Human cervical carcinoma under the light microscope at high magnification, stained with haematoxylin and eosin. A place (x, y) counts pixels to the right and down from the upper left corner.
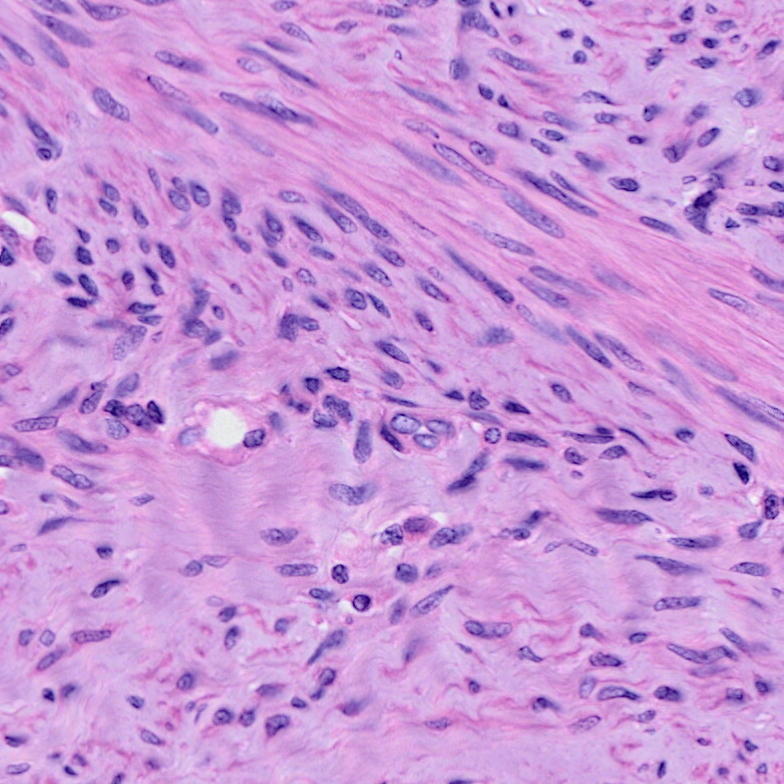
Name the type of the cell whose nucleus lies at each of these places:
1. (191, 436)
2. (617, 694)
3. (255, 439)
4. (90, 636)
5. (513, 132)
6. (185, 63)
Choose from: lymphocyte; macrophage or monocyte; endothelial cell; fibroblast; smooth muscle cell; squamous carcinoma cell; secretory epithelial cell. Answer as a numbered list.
1. endothelial cell
2. smooth muscle cell
3. endothelial cell
4. smooth muscle cell
5. smooth muscle cell
6. smooth muscle cell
